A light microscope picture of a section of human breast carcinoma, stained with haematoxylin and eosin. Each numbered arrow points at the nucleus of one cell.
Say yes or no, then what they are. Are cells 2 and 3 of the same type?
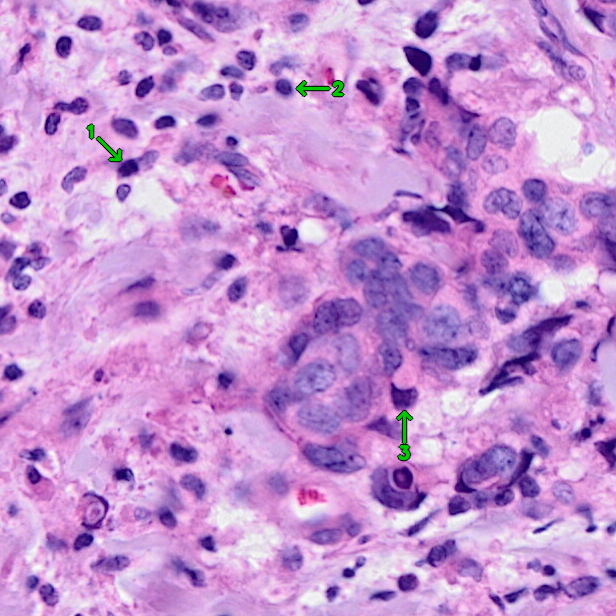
No, hold on, cell 2 is a lymphocyte and cell 3 is a carcinoma cell.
